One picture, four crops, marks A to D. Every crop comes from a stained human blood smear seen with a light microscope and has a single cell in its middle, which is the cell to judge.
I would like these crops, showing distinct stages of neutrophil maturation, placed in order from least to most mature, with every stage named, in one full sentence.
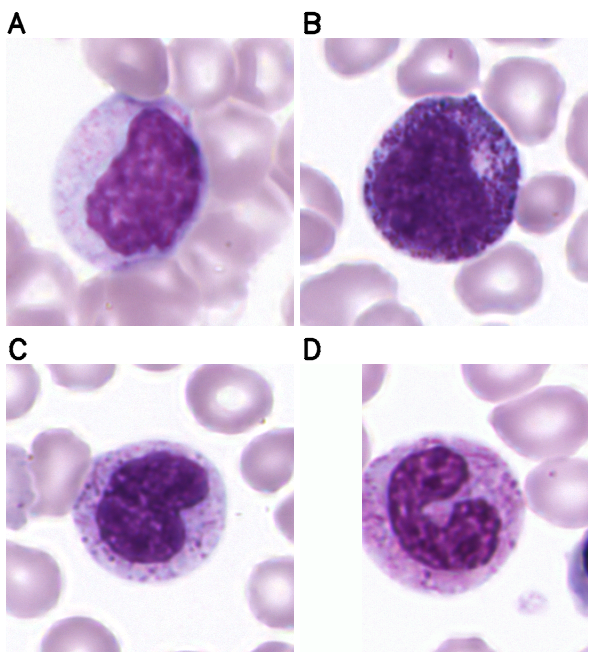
By increasing maturity, the order is crop B (a promyelocyte), crop A (a myelocyte), crop C (a metamyelocyte) and crop D (a band neutrophil).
